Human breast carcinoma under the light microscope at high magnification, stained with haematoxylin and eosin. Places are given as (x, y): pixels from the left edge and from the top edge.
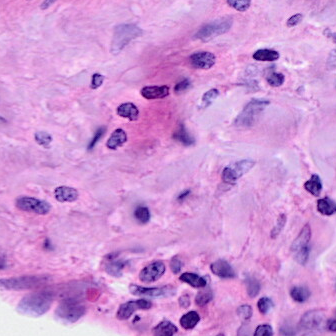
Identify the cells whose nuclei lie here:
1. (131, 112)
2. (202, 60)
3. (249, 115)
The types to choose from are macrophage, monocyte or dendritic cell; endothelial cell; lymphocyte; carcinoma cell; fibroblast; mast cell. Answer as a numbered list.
1. mast cell
2. mast cell
3. fibroblast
